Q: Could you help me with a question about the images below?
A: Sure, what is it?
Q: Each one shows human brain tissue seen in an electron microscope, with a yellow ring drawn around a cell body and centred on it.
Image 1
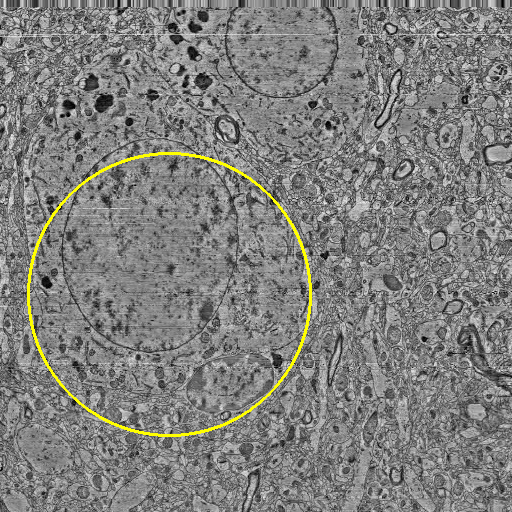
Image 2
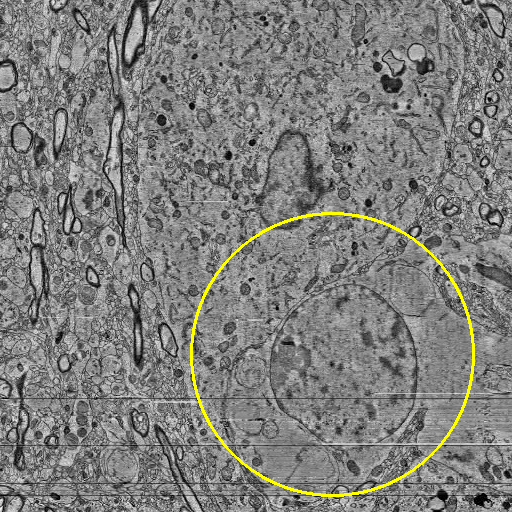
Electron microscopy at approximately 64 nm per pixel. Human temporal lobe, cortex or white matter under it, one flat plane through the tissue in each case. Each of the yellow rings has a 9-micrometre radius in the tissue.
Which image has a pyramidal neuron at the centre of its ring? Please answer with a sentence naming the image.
Image 1 has it at the centre of its ring.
